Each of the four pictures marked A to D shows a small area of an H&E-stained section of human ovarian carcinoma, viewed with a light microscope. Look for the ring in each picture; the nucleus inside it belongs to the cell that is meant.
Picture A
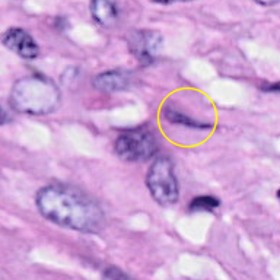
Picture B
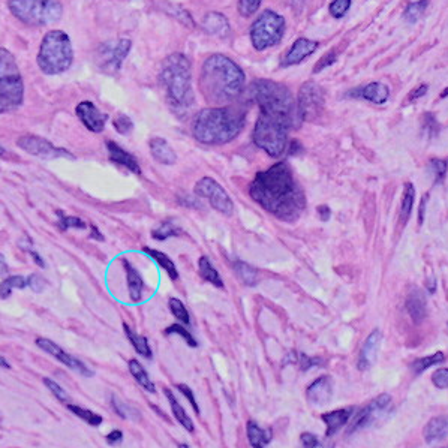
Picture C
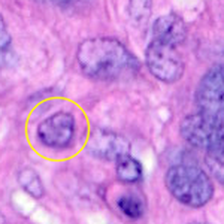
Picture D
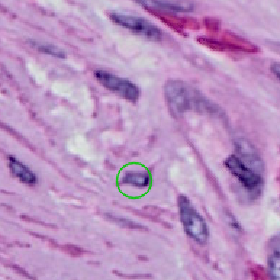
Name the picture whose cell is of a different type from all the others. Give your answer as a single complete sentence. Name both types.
Unlike the rest, which show fibroblasts, picture C shows a “macrophage or monocyte”.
